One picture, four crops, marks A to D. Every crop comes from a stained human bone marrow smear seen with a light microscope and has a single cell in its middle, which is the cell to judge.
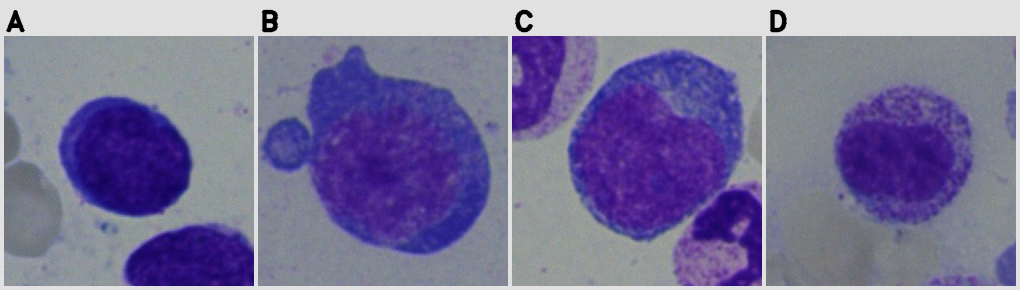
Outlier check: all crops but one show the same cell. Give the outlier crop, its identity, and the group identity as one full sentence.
Crop D alone is a myelocyte, and the other crops are all blasts.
